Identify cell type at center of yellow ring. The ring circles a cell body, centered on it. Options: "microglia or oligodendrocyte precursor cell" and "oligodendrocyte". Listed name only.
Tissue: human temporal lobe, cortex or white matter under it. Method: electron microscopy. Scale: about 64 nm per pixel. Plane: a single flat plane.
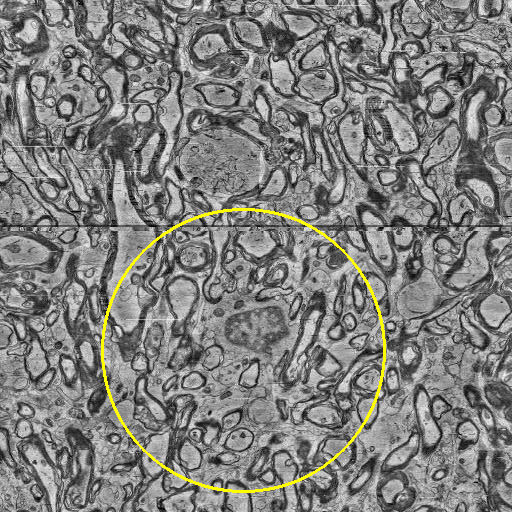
oligodendrocyte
